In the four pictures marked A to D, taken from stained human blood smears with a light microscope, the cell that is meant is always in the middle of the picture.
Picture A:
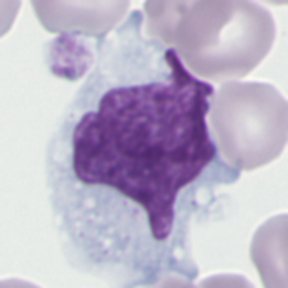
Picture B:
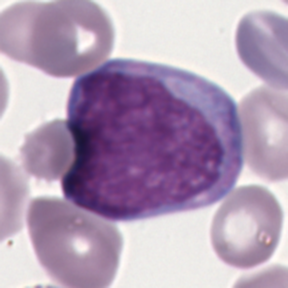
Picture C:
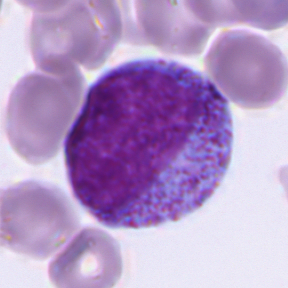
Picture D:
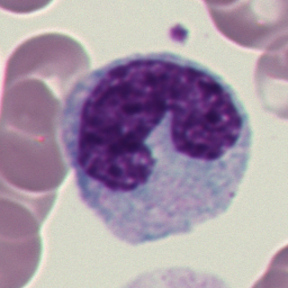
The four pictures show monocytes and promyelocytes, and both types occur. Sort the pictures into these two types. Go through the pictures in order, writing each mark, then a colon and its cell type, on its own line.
A: monocyte
B: promyelocyte
C: promyelocyte
D: monocyte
